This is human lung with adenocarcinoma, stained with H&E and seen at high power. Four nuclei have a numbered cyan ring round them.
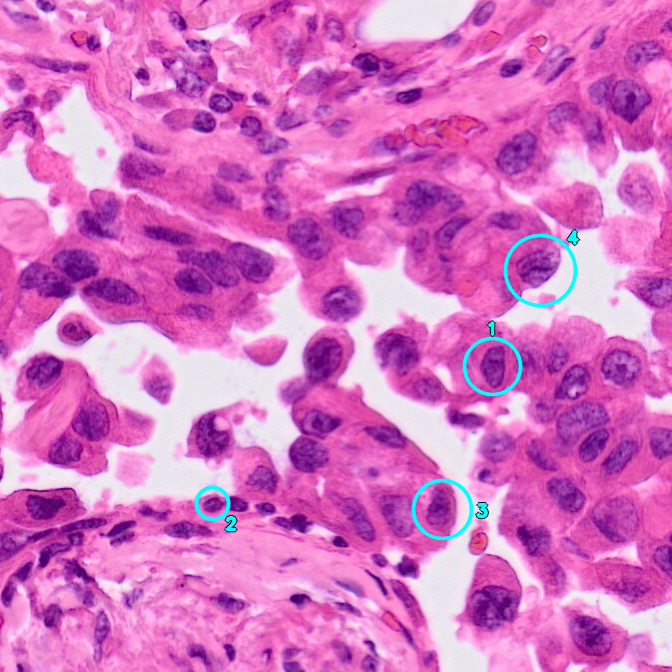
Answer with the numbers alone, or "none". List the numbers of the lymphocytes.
2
